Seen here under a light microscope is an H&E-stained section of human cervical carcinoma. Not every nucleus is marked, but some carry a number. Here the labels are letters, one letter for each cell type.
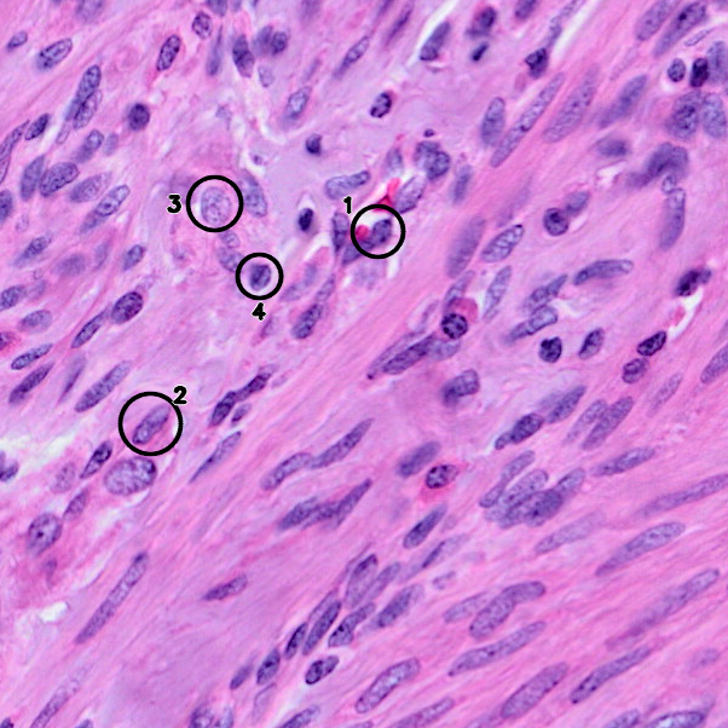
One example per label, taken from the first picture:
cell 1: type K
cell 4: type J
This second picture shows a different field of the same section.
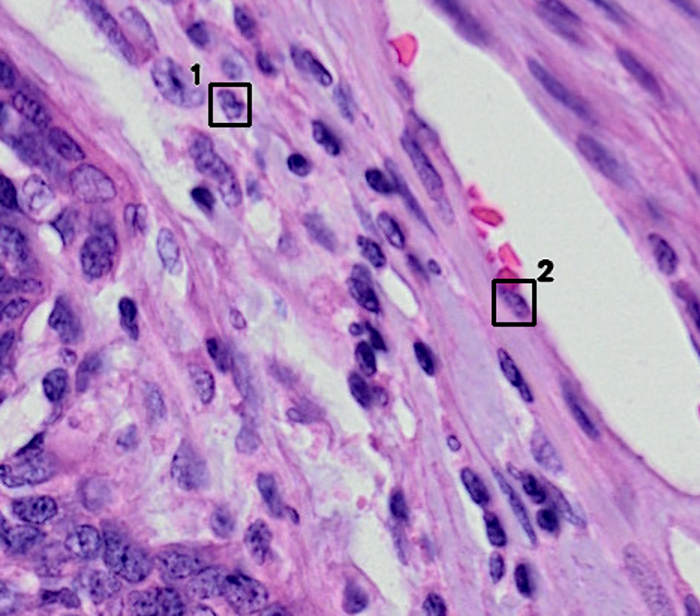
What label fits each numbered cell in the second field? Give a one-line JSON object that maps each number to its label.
{"1": "type J", "2": "type K"}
